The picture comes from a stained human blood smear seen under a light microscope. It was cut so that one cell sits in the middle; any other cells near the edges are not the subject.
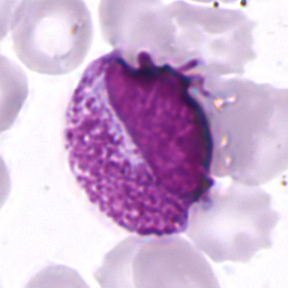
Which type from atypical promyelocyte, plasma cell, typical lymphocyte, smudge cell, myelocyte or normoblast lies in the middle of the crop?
myelocyte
